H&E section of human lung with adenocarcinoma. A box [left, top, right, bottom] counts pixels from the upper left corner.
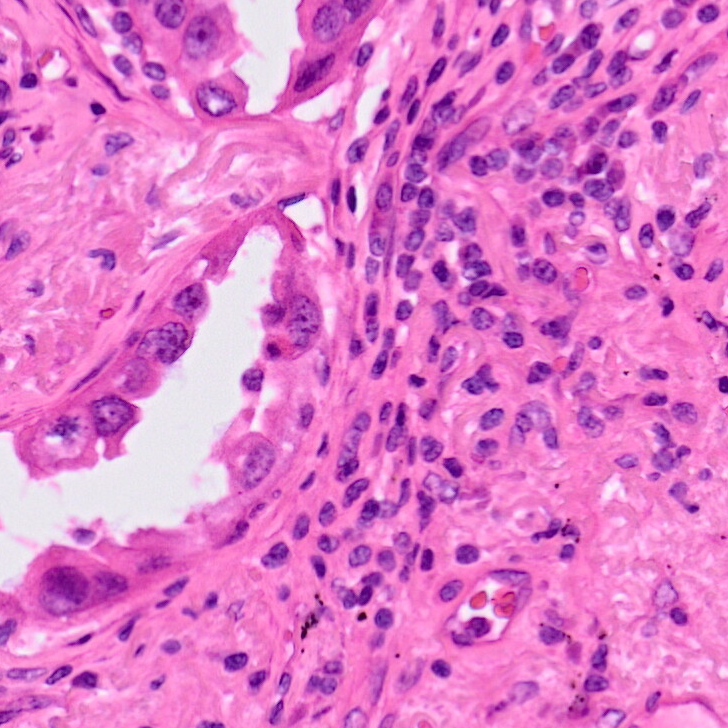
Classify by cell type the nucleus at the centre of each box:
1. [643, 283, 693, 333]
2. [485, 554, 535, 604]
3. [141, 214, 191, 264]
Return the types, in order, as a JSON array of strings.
["lymphocyte", "endothelial cell", "fibroblast"]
